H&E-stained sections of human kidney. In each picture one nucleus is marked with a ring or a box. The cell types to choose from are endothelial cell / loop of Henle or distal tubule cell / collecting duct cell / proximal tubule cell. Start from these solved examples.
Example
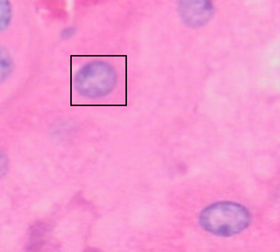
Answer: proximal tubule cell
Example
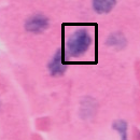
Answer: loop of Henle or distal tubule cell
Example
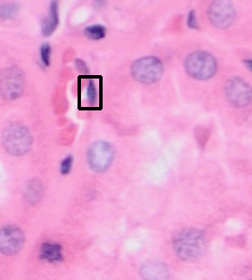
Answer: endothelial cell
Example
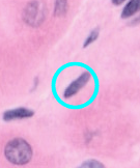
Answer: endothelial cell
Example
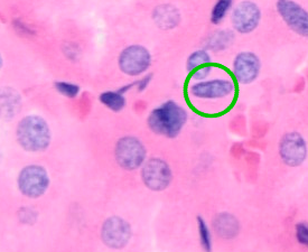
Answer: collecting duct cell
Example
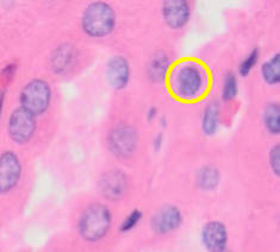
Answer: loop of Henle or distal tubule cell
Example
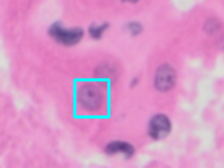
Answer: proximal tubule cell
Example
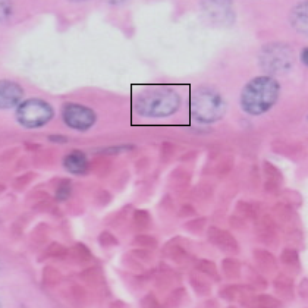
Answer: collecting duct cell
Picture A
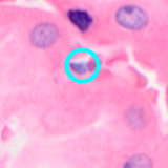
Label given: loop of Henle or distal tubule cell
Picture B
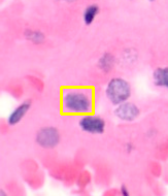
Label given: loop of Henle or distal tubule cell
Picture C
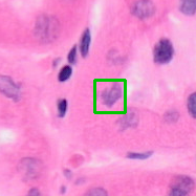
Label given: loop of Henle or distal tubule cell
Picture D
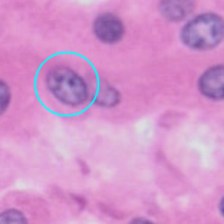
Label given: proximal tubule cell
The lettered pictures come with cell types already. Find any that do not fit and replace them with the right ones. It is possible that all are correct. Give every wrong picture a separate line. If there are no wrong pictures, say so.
A: change loop of Henle or distal tubule cell to endothelial cell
